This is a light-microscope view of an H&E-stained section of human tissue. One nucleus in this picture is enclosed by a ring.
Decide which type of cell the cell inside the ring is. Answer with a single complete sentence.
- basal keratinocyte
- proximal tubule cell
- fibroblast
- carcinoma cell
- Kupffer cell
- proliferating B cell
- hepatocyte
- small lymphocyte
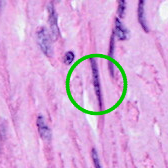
This is a fibroblast.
